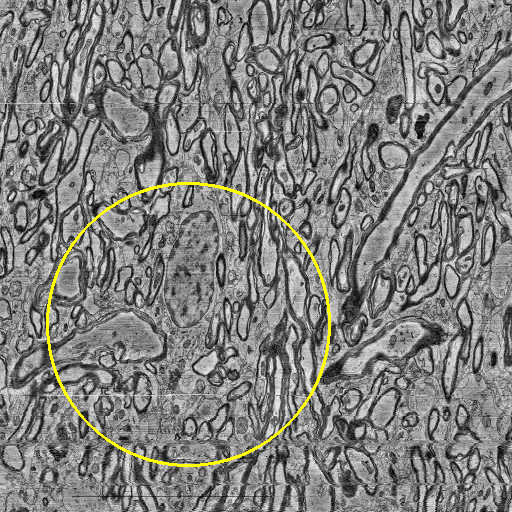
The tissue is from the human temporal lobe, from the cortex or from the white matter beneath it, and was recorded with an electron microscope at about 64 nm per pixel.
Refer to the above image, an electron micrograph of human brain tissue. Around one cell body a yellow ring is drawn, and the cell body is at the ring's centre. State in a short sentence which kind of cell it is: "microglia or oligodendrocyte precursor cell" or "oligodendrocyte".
The centre of the ring falls on a microglial cell or oligodendrocyte precursor cell.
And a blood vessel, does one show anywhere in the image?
No, none is visible.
